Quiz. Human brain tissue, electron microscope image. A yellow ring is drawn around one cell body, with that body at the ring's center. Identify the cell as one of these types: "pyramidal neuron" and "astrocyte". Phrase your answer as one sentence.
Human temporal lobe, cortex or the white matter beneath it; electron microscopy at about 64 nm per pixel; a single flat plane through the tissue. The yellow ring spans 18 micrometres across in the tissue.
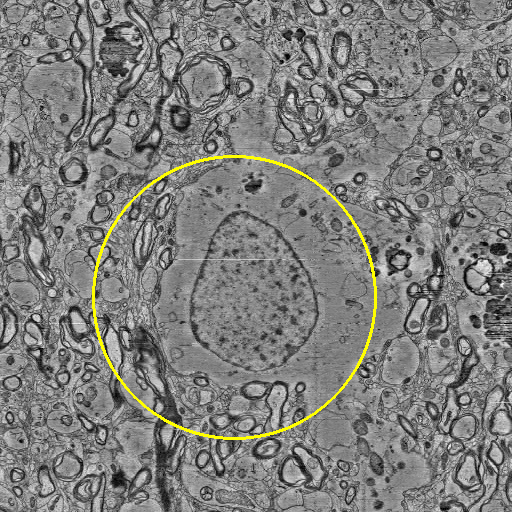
At the center of the ring sits an astrocyte.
